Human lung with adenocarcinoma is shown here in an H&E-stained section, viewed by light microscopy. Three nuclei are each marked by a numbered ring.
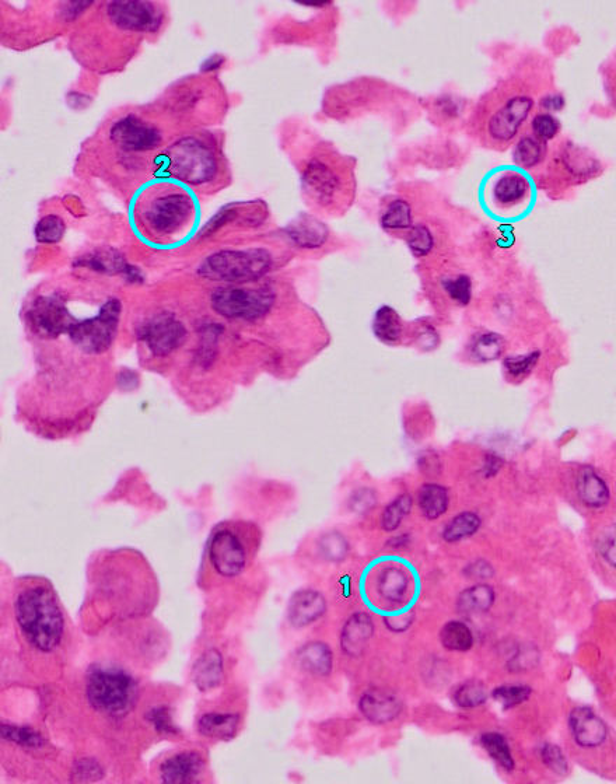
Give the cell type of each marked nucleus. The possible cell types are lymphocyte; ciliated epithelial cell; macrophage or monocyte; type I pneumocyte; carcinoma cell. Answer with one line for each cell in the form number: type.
1: macrophage or monocyte
2: carcinoma cell
3: lymphocyte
